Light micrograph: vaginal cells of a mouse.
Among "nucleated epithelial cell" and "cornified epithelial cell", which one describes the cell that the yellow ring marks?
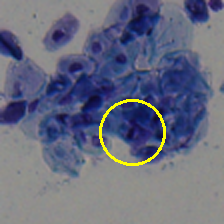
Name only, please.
nucleated epithelial cell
